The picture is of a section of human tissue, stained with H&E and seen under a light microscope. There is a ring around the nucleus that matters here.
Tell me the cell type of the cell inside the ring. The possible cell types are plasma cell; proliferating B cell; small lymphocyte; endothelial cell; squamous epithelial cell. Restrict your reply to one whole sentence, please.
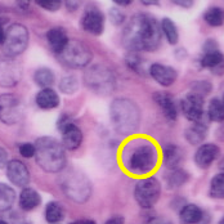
The identity of the cell inside the ring: it is an endothelial cell.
